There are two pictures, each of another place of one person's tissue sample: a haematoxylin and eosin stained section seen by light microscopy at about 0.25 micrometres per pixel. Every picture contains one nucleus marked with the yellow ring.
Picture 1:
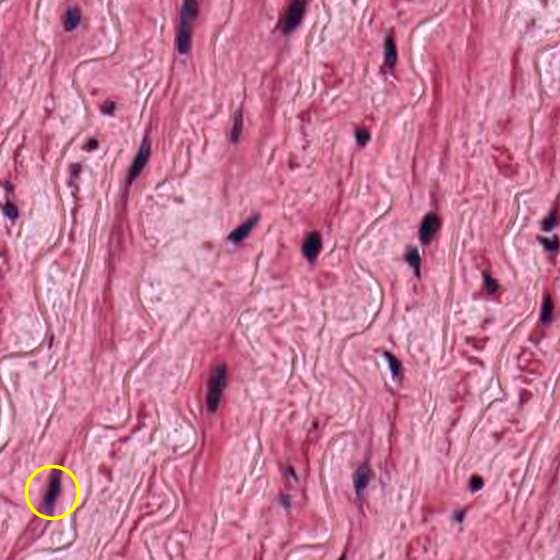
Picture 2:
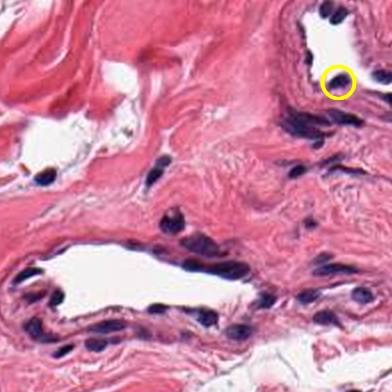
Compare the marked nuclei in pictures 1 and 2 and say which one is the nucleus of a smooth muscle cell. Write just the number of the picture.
1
